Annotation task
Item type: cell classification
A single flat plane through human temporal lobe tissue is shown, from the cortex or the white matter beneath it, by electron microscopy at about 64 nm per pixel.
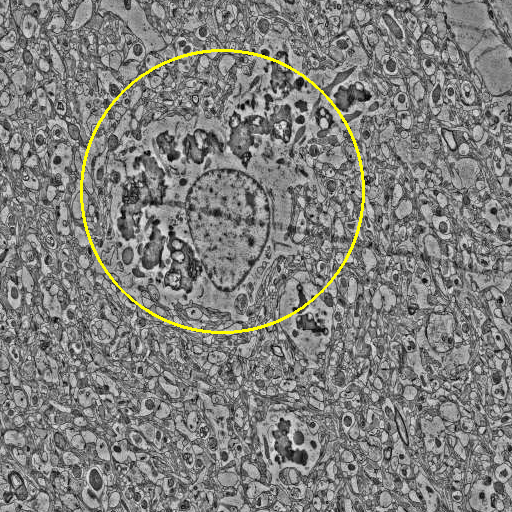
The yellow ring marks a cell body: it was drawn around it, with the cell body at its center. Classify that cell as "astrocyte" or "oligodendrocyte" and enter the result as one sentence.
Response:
The ring's center falls on an astrocyte.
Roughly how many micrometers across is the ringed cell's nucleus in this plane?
The ringed cell's nucleus measures approximately 8 by 5 micrometres in this plane.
